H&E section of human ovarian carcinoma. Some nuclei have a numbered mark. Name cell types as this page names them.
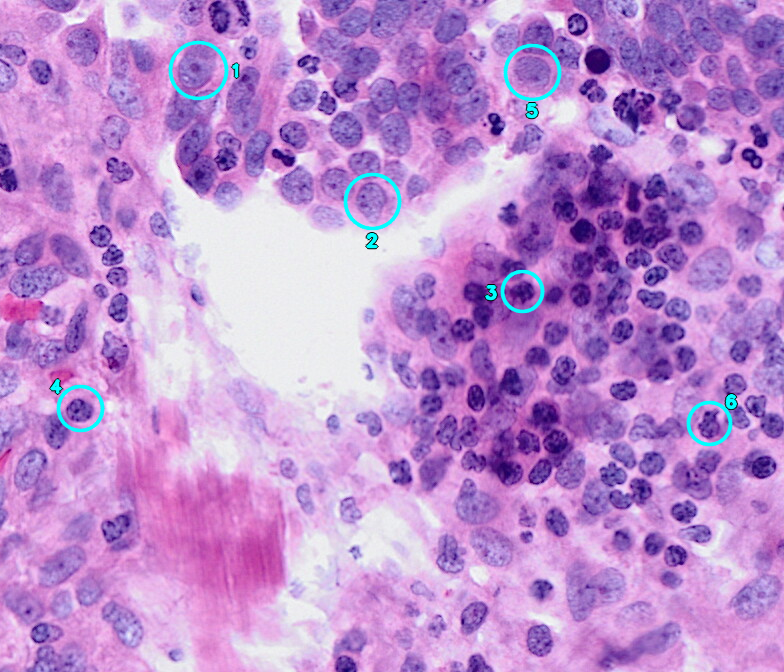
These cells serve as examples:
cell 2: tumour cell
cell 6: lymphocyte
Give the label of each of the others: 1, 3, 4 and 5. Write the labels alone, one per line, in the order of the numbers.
tumour cell
lymphocyte
lymphocyte
tumour cell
